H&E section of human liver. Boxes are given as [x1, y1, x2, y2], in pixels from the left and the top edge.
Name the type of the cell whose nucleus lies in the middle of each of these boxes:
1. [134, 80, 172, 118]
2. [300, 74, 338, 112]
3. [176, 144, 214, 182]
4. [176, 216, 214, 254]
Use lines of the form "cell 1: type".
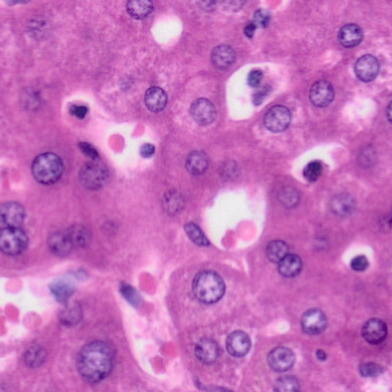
cell 1: hepatocyte
cell 2: hepatocyte
cell 3: hepatocyte
cell 4: fibroblast or stellate cell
